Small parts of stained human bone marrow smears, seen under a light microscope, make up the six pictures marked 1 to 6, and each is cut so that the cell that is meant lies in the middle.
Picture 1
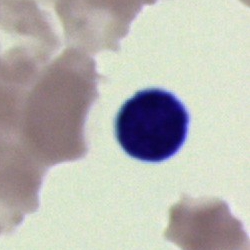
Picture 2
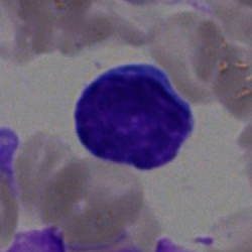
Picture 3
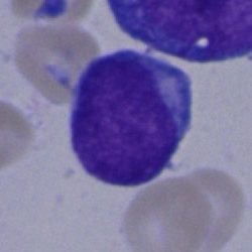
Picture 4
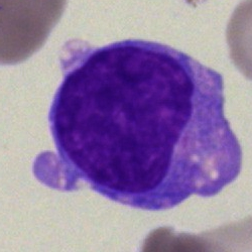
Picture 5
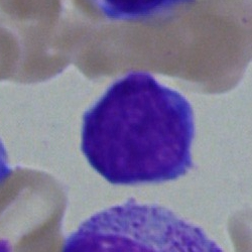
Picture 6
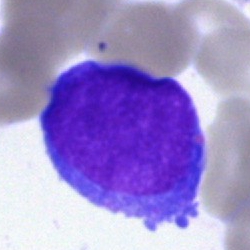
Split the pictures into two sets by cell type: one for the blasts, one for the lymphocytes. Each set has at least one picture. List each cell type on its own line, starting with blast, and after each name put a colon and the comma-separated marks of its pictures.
blast: 3, 4, 6
lymphocyte: 1, 2, 5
